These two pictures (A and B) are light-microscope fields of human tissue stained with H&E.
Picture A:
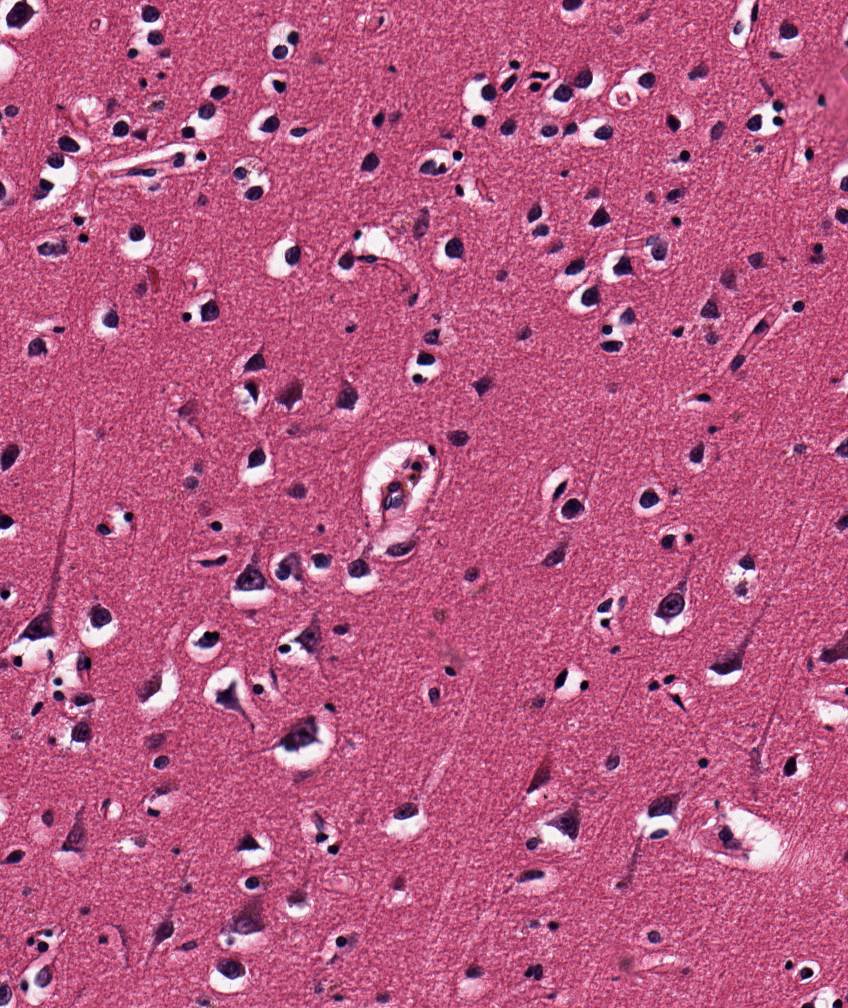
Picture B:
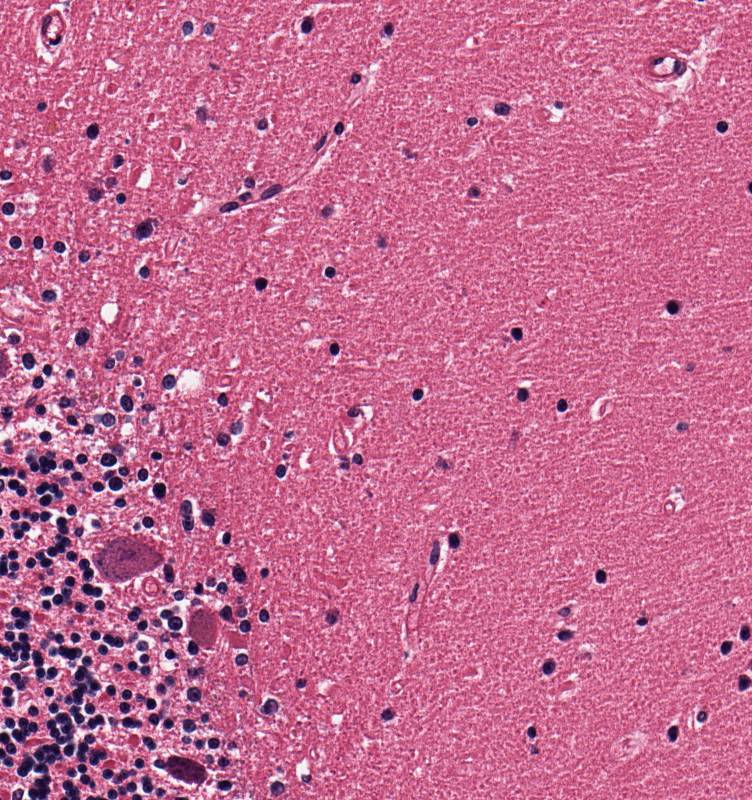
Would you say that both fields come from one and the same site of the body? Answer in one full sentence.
No, they differ: picture A comes from the cerebral cortex, and picture B comes from the cerebellum.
